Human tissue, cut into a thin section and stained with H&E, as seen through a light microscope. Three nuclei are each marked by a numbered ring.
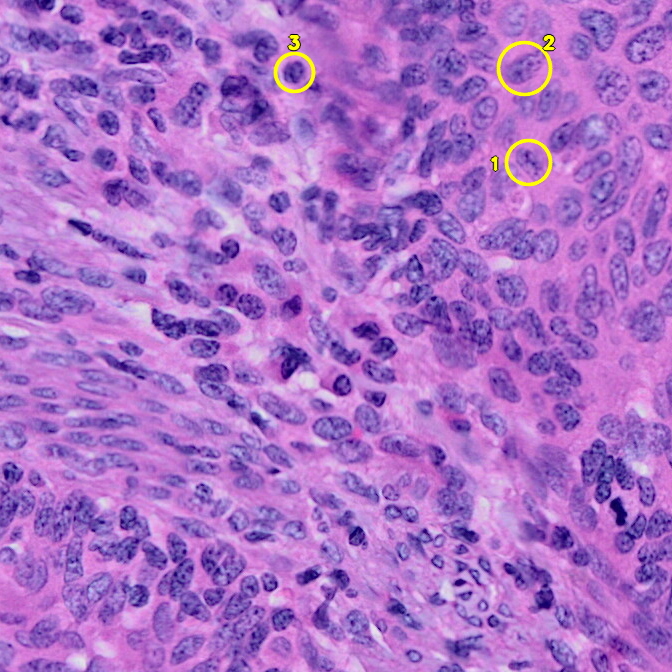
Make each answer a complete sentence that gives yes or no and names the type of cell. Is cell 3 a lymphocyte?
Yes, a lymphocyte is what the cell numbered 3 is.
